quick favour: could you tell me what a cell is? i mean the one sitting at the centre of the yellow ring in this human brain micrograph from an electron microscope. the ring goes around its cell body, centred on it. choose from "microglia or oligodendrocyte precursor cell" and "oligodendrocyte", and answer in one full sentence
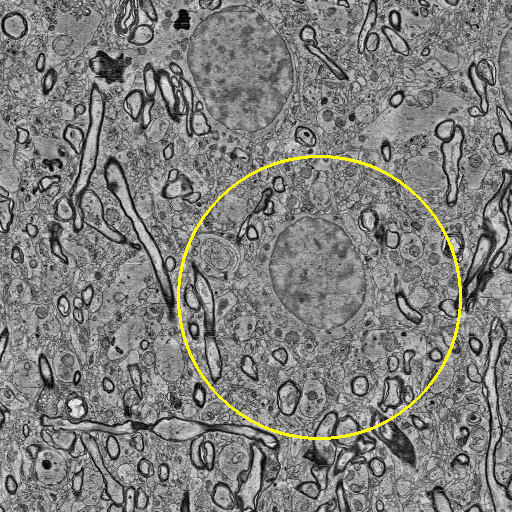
That's an oligodendrocyte, the cell sitting at the centre of the yellow ring.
